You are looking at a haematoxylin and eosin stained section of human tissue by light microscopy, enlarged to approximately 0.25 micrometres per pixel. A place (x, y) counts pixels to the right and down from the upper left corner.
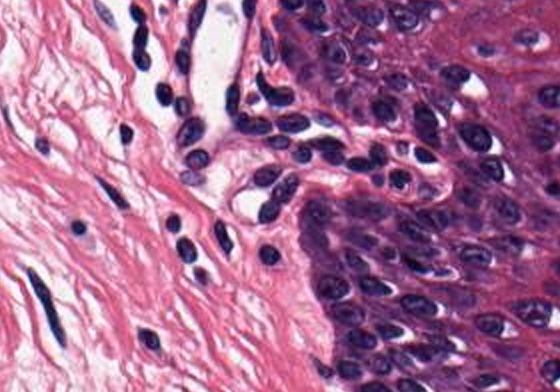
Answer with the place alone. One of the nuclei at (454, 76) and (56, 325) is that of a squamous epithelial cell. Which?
(454, 76)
